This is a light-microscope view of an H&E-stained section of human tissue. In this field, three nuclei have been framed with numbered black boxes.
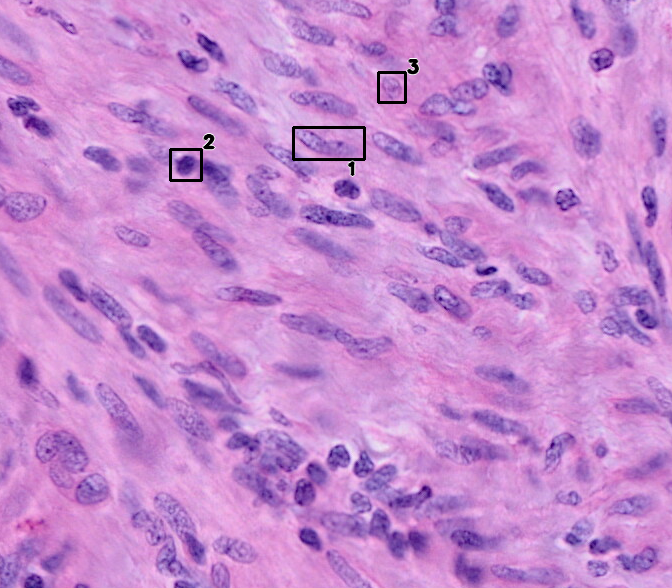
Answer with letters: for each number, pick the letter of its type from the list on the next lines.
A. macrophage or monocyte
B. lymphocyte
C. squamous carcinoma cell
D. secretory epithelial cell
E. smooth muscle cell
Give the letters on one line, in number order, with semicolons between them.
E; B; E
